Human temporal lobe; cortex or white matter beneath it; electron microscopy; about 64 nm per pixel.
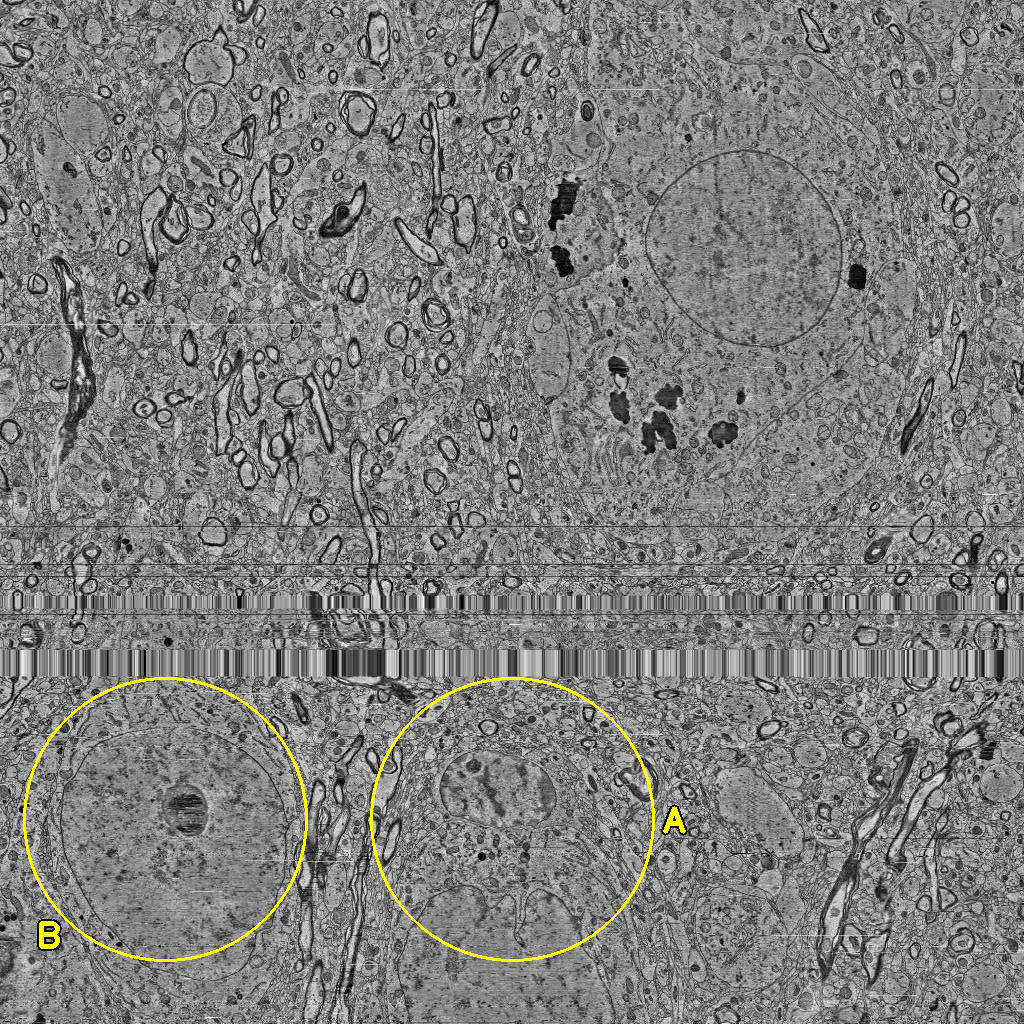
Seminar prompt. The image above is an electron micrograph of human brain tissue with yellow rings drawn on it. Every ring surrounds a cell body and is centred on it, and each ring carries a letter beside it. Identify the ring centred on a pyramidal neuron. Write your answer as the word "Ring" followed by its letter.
Ring B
